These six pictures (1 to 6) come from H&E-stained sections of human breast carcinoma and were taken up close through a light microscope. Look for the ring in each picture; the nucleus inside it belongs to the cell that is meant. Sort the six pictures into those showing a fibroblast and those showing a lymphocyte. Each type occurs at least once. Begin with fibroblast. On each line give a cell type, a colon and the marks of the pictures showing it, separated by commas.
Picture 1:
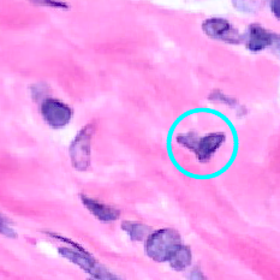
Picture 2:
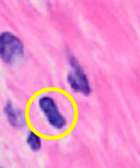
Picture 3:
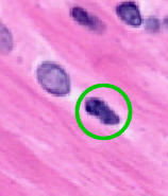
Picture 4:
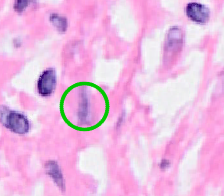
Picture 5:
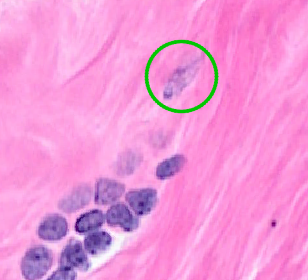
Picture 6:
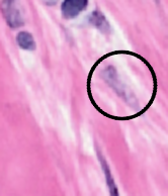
fibroblast: 4, 5, 6
lymphocyte: 1, 2, 3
